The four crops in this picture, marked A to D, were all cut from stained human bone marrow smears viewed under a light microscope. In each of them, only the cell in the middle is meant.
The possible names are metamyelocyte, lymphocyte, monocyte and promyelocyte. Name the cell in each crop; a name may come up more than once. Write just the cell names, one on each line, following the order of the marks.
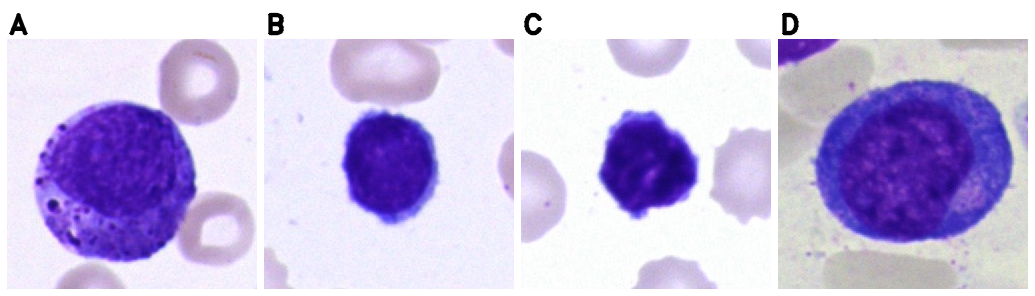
promyelocyte
lymphocyte
lymphocyte
promyelocyte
